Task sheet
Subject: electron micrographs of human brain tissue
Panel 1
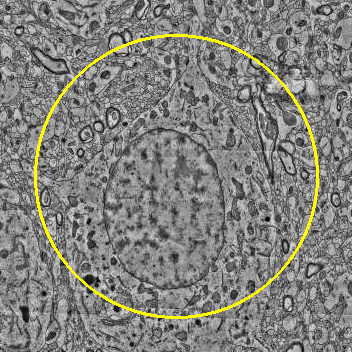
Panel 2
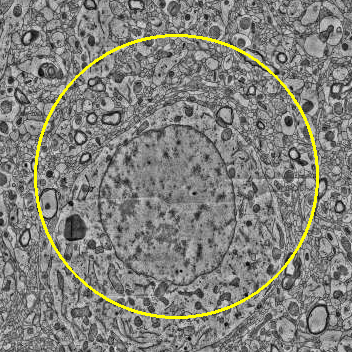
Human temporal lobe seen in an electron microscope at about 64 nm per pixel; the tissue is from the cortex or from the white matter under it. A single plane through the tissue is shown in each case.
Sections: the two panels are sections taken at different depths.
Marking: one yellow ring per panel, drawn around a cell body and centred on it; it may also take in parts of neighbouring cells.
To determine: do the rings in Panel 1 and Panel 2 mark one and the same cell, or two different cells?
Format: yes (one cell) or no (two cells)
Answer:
yes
